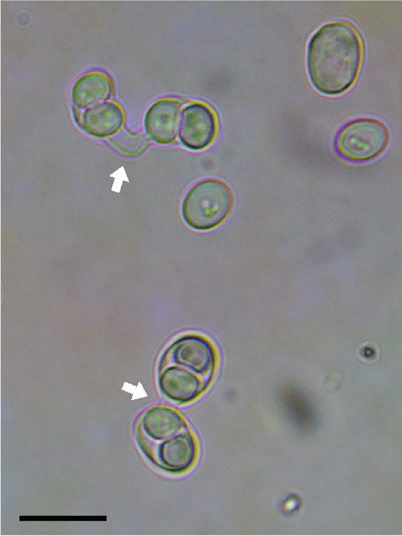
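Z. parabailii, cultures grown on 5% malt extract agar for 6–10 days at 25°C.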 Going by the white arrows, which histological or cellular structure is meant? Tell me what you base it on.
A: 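Two cells are linked by a narrow tube-like bridge. The linked cells contain rounded internal bodies. On this evidence: conjugation tubes.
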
